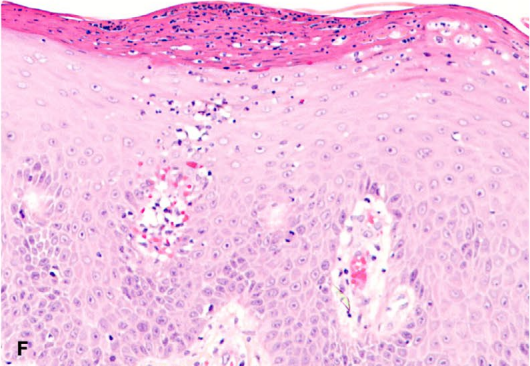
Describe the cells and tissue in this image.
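This is the upper epidermis of skin, with a collection of neutrophils forming a microabscess just beneath and within the cornified layer. The pink cornified layer at the top is crowded with small, dark, lobed nuclei of neutrophils. Below lie large polygonal keratinocytes with pale pink cytoplasm and round nuclei, and a few neutrophils are seen passing up through this layer. Small vessels packed with red blood cells are visible in papillae reaching high into the epidermis.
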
